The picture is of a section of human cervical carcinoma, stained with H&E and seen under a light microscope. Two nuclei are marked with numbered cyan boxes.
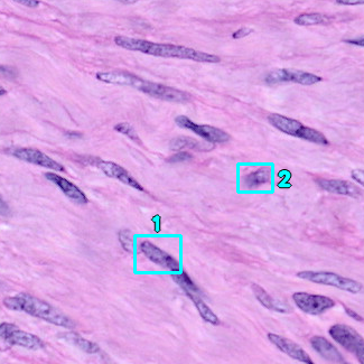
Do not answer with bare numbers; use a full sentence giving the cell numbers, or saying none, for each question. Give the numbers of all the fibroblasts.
Among the cells marked with numbers, the only one that is a fibroblast is number 1.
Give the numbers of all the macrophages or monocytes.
The tally for macrophages or monocytes among the numbered cells is zero.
